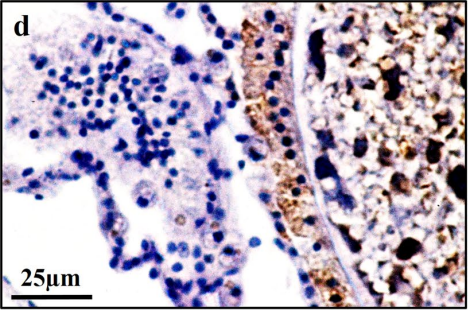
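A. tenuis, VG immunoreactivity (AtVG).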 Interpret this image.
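This field shows the edge of putative ovarian tissue beside thin surrounding tissue. On the left a thin folded tissue sheet holds many small, round, dark blue nuclei crowded together with little visible cytoplasm. To the right, a narrow band of cells has brown granular cytoplasm with a few blue nuclei. Beyond a thin pale wall lies the interior of a large cell, full of pale round vesicles, brown material and scattered dark inclusions.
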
